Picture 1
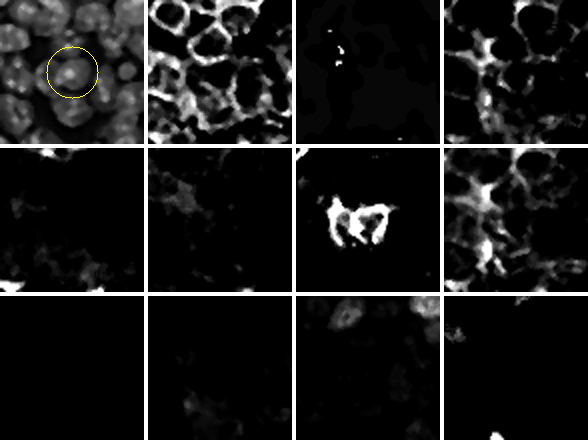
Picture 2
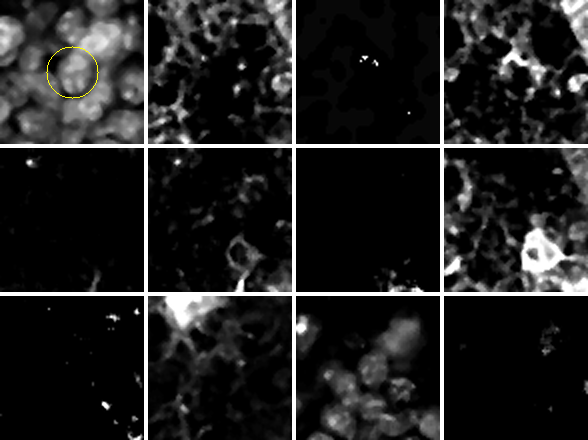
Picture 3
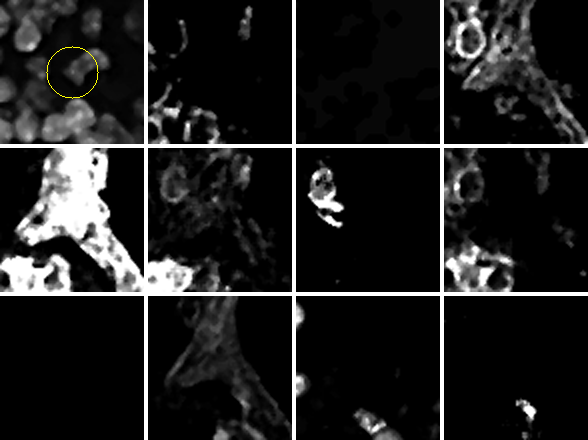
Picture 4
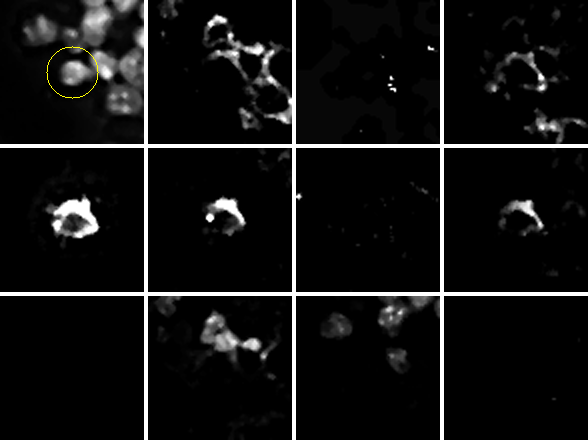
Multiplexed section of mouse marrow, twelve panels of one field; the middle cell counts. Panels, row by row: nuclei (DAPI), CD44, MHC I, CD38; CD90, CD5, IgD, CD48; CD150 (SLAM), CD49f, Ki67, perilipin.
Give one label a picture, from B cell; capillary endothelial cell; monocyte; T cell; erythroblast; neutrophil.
Picture 1: B cell
Picture 2: capillary endothelial cell
Picture 3: capillary endothelial cell
Picture 4: T cell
